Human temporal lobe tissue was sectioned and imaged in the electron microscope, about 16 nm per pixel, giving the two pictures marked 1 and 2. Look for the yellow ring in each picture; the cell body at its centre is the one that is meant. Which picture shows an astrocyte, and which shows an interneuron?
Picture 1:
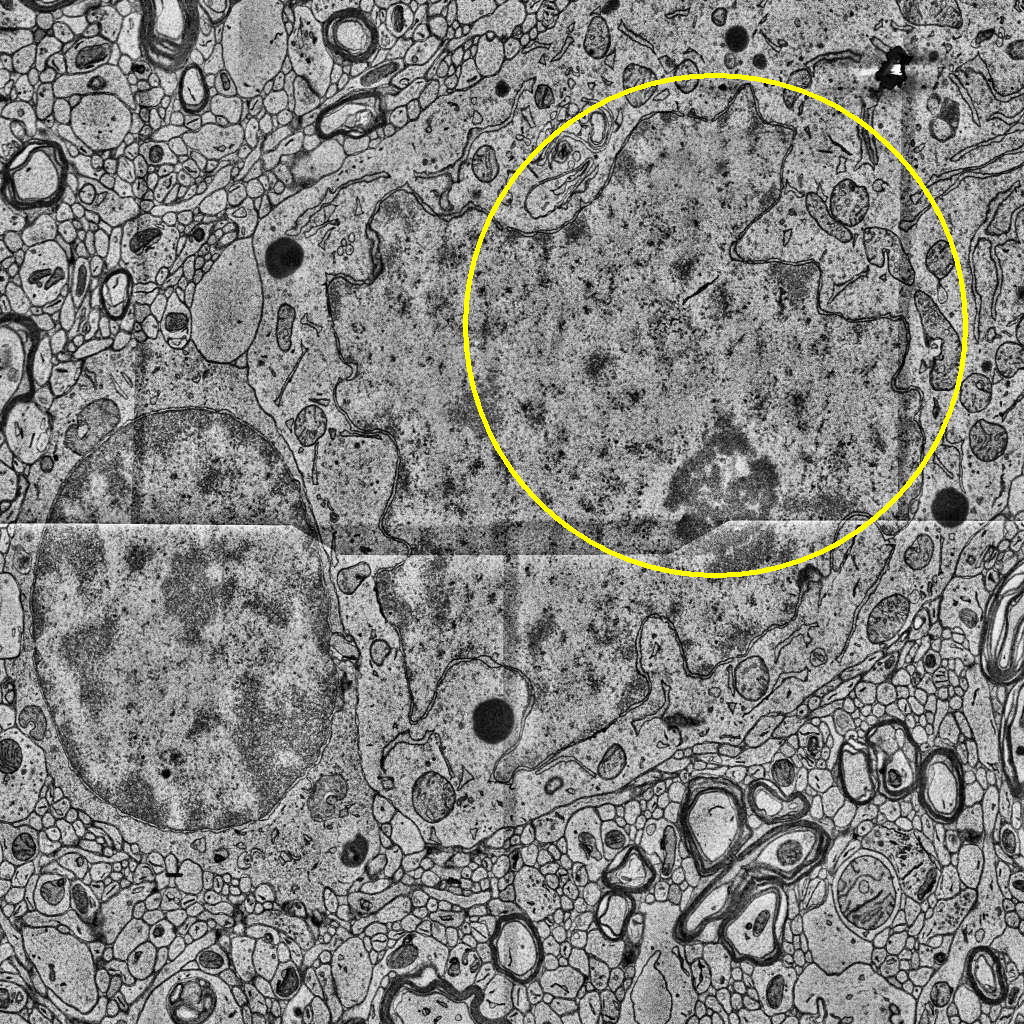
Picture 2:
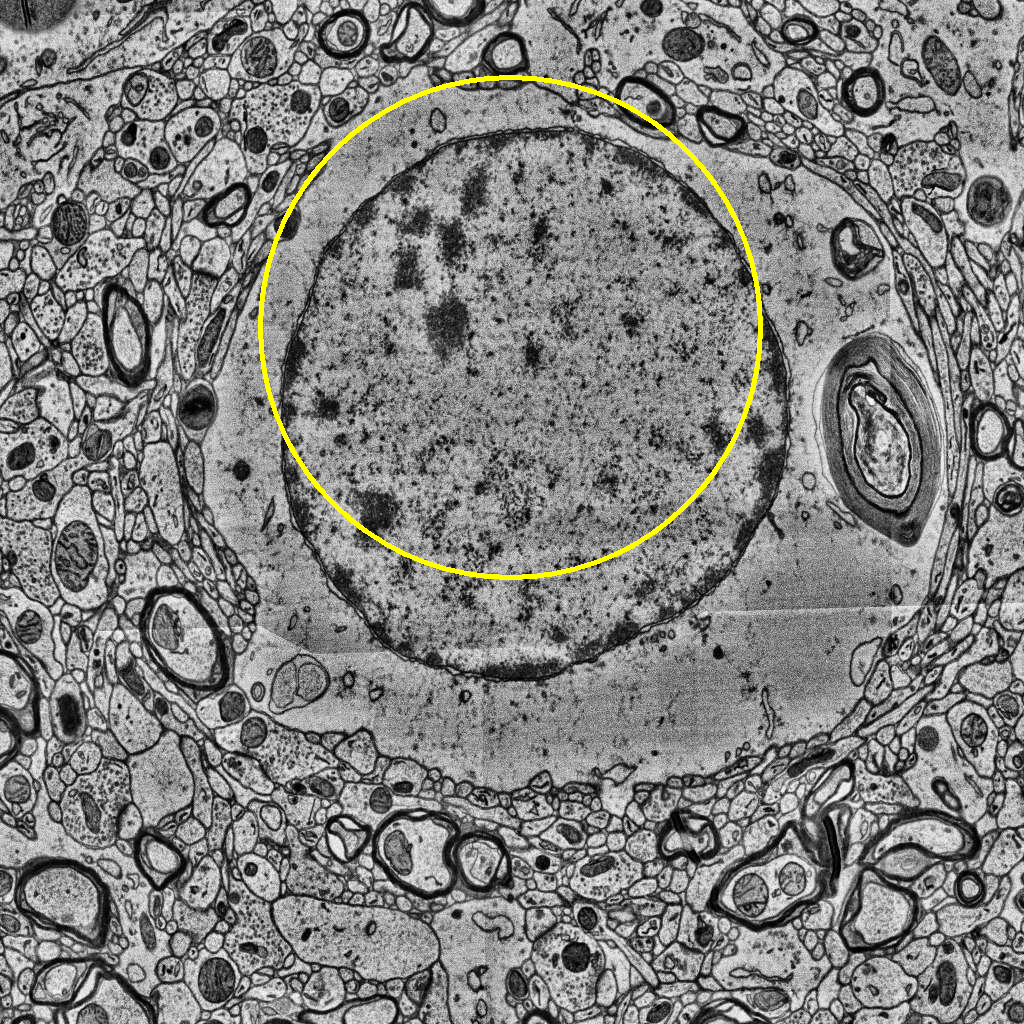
Picture 2 shows an astrocyte, while picture 1 shows an interneuron.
